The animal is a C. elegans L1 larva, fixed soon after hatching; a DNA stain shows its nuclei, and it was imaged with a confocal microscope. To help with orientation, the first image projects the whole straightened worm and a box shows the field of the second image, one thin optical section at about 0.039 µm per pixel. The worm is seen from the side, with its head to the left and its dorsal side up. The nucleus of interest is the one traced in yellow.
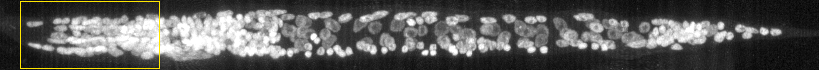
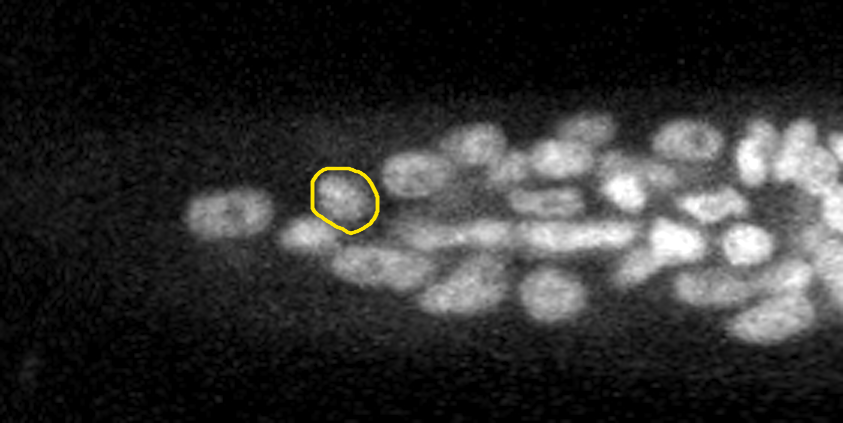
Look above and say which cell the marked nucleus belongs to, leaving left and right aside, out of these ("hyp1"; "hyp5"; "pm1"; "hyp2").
hyp2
